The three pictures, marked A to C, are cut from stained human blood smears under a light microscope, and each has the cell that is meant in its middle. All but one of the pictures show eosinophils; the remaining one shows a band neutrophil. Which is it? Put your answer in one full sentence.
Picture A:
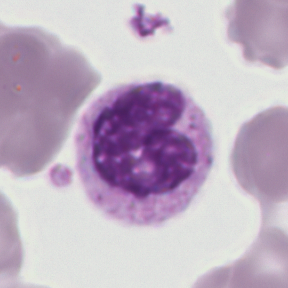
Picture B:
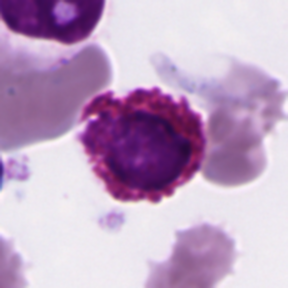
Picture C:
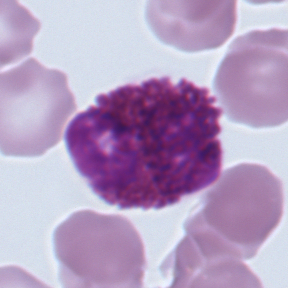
Picture A is the one that shows the band neutrophil.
